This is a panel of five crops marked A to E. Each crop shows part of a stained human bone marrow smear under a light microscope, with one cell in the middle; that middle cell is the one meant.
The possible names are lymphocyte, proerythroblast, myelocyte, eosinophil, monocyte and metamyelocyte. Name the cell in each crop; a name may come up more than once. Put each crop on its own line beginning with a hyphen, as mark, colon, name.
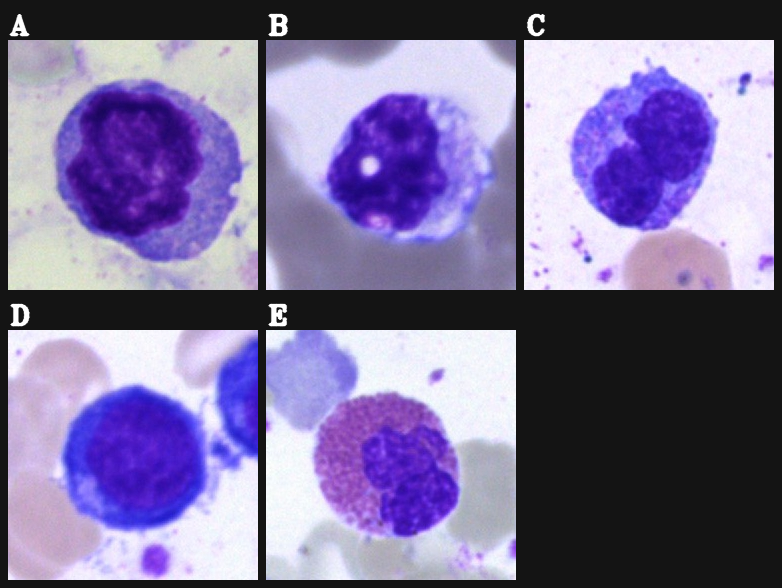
- A: monocyte
- B: monocyte
- C: monocyte
- D: proerythroblast
- E: eosinophil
